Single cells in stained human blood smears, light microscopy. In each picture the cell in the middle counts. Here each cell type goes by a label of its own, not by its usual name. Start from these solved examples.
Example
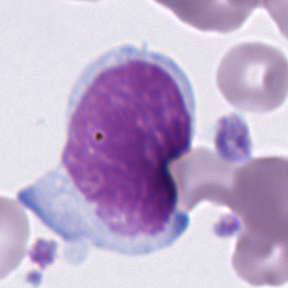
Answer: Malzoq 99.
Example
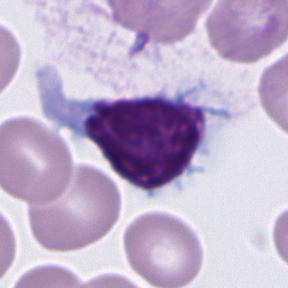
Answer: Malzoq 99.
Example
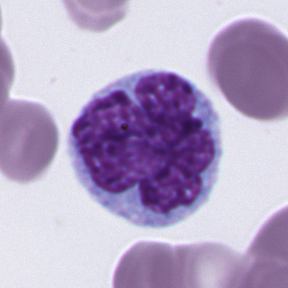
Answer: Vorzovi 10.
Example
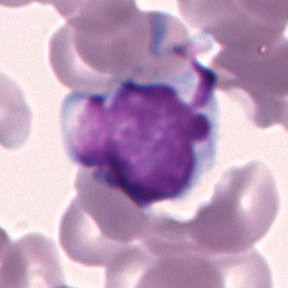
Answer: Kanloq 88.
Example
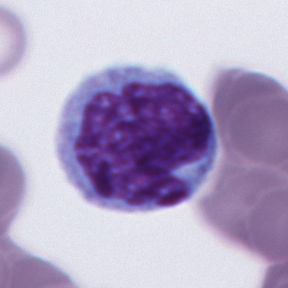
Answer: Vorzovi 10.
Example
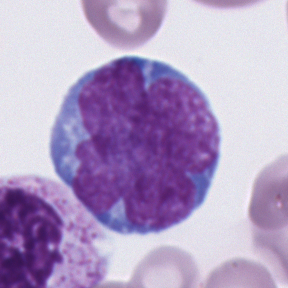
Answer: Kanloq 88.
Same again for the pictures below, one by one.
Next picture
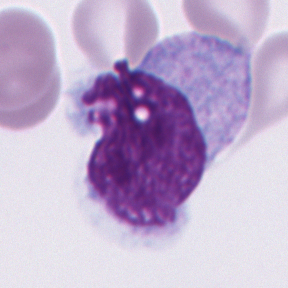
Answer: Vorzovi 10.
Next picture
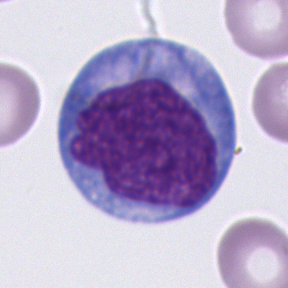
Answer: Kanloq 88.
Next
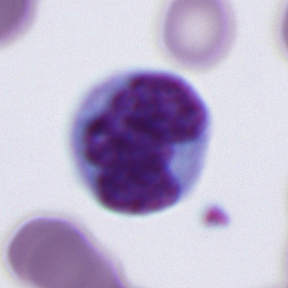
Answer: Vorzovi 10.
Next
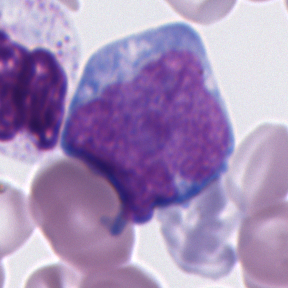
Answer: Kanloq 88.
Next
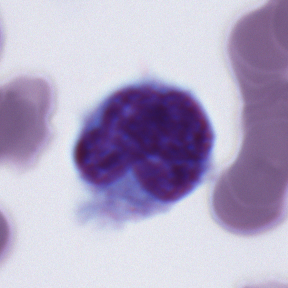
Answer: Vorzovi 10.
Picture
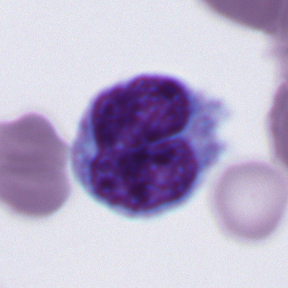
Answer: Vorzovi 10.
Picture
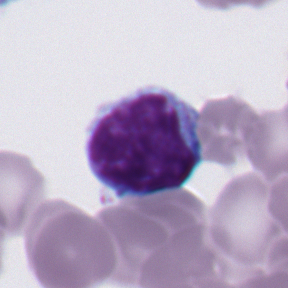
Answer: Malzoq 99.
